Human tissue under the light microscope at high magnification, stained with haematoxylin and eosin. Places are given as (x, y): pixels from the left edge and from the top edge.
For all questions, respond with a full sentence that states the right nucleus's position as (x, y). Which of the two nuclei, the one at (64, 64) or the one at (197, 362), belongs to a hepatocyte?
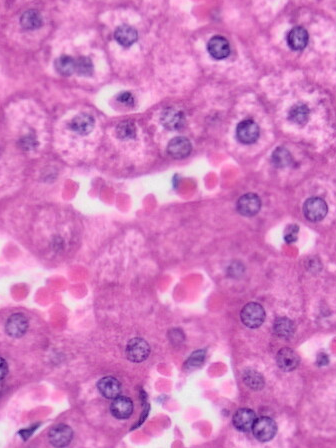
It is the nucleus at (64, 64), not the other one, that belongs to a hepatocyte.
